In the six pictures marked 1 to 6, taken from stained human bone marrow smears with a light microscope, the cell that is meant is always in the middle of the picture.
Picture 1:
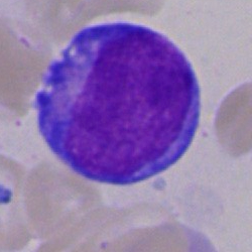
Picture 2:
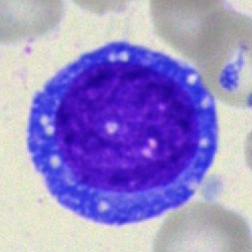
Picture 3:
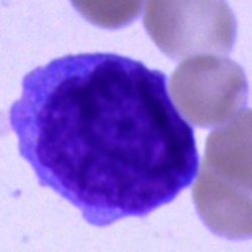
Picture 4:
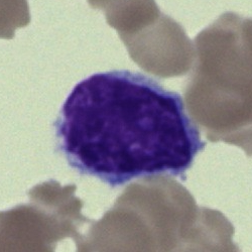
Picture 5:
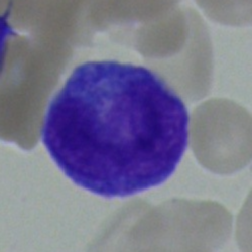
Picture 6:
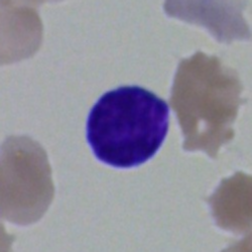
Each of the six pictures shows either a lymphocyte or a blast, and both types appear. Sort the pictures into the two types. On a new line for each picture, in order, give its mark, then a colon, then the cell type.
1: blast
2: blast
3: blast
4: lymphocyte
5: blast
6: lymphocyte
